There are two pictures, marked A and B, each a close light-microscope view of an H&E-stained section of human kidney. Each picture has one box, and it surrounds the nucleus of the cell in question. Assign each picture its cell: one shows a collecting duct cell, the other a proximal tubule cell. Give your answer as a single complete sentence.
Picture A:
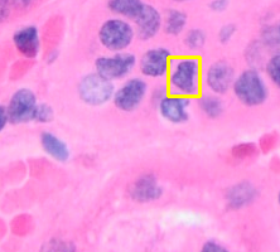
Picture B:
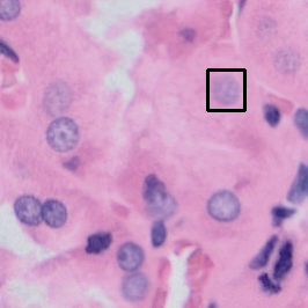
Picture B shows a proximal tubule cell, while picture A shows a collecting duct cell.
